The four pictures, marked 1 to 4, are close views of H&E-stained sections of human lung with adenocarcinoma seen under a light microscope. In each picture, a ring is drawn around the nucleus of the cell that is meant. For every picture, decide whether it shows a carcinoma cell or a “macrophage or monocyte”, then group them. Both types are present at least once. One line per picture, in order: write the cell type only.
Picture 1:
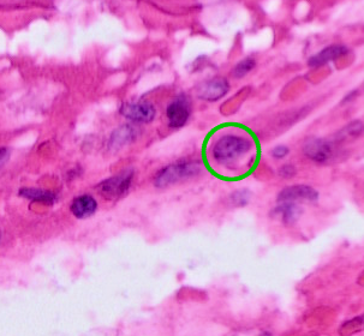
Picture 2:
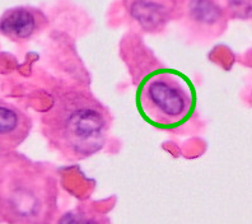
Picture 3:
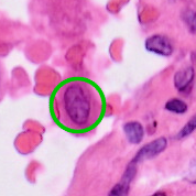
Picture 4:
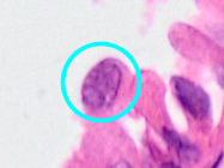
macrophage or monocyte
macrophage or monocyte
macrophage or monocyte
carcinoma cell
